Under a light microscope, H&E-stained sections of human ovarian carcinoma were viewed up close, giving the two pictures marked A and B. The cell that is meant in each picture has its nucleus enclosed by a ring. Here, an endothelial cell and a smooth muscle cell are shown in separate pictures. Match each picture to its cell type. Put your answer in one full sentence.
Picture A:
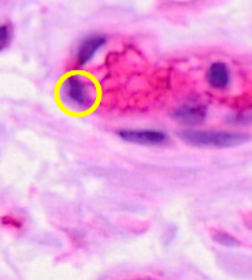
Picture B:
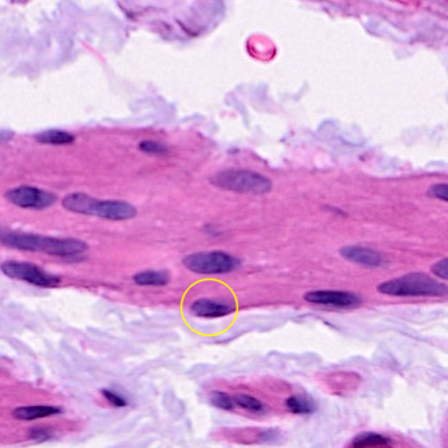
Picture B shows a smooth muscle cell, while picture A shows an endothelial cell.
